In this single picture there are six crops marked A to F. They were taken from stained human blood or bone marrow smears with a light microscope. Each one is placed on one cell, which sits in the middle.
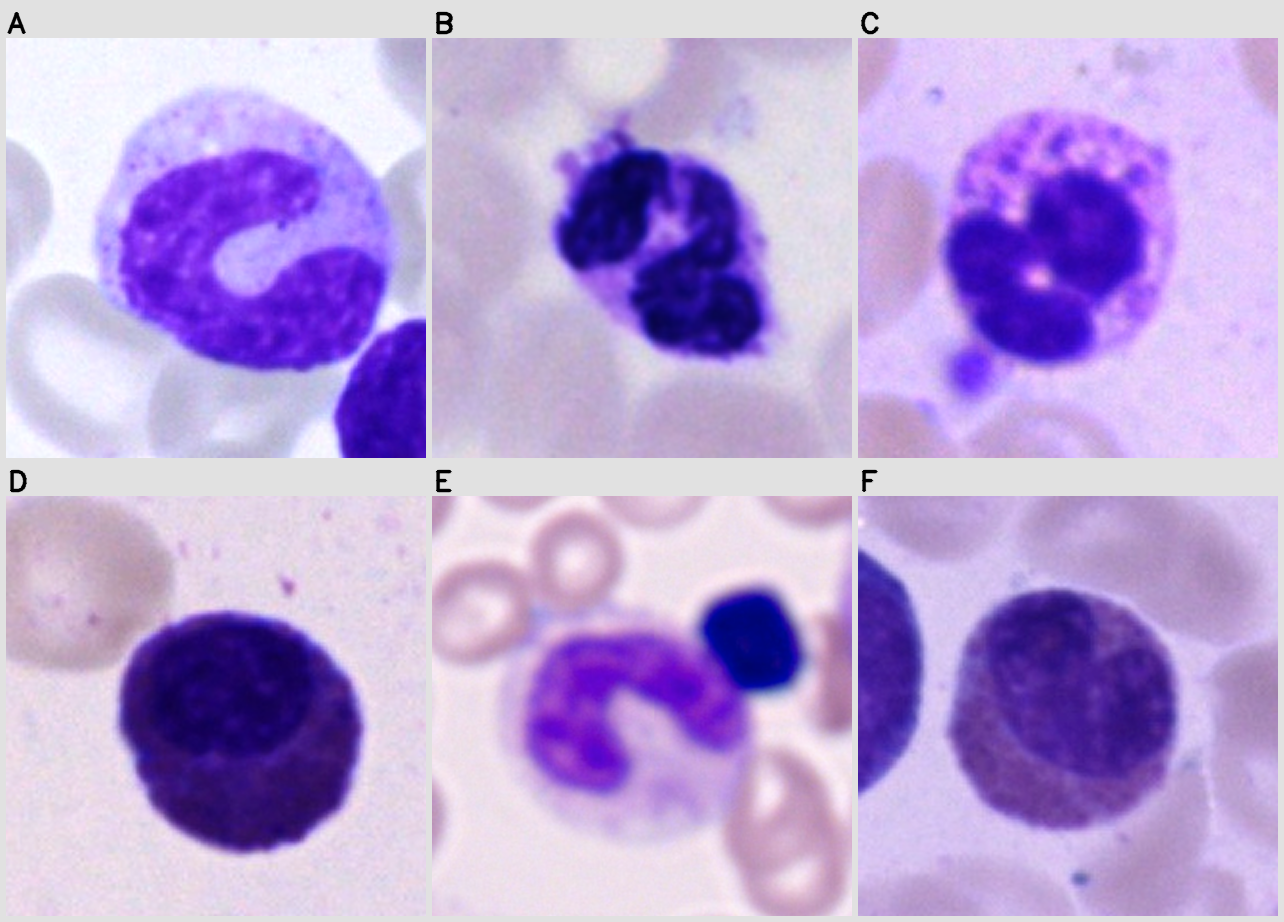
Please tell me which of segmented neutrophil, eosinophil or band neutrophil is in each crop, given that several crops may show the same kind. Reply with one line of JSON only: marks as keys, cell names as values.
{"A": "band neutrophil", "B": "segmented neutrophil", "C": "segmented neutrophil", "D": "eosinophil", "E": "band neutrophil", "F": "eosinophil"}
